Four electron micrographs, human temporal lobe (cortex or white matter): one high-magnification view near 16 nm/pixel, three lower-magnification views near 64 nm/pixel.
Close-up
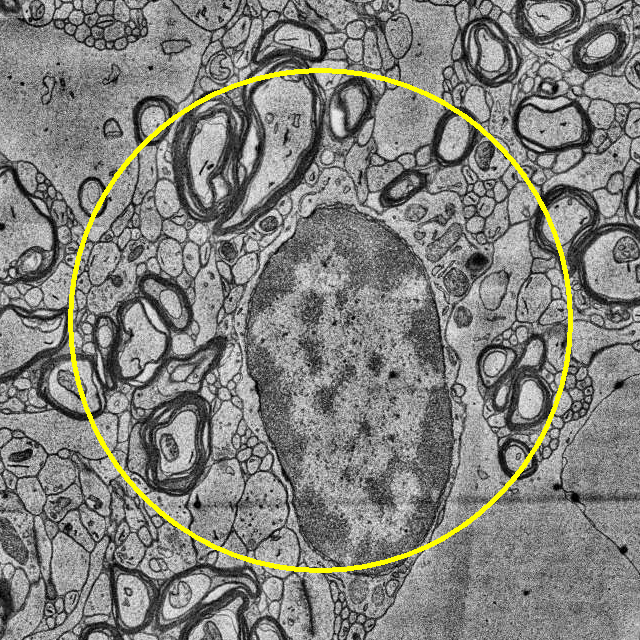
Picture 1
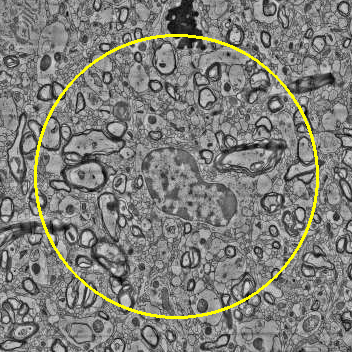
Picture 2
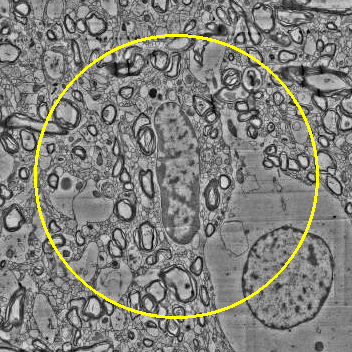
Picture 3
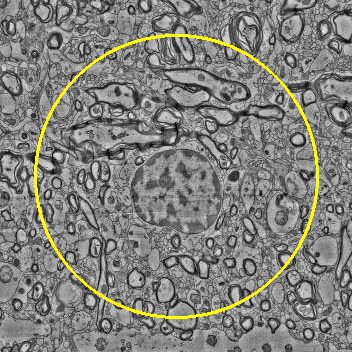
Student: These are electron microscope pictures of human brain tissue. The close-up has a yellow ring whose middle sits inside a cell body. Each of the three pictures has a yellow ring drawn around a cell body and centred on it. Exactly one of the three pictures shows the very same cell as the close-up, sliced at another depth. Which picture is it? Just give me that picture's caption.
Picture 2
